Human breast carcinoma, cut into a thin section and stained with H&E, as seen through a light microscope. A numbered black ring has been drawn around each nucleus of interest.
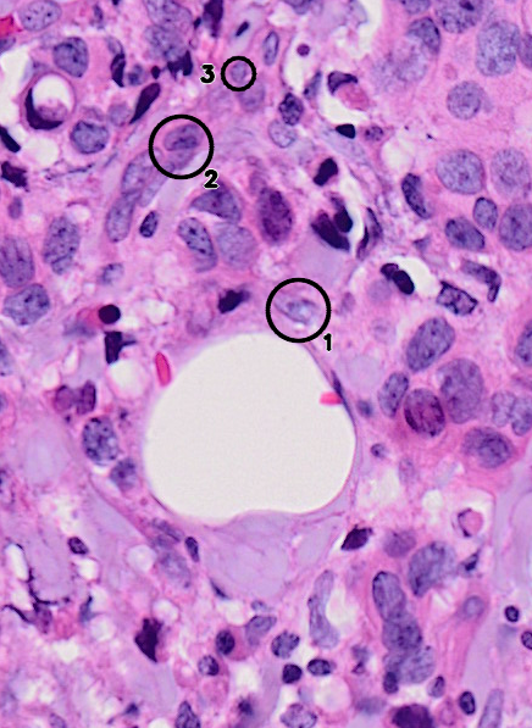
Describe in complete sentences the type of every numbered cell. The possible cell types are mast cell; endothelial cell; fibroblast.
Cell 1 is a fibroblast, cell 2 is an endothelial cell and cell 3 is an endothelial cell.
